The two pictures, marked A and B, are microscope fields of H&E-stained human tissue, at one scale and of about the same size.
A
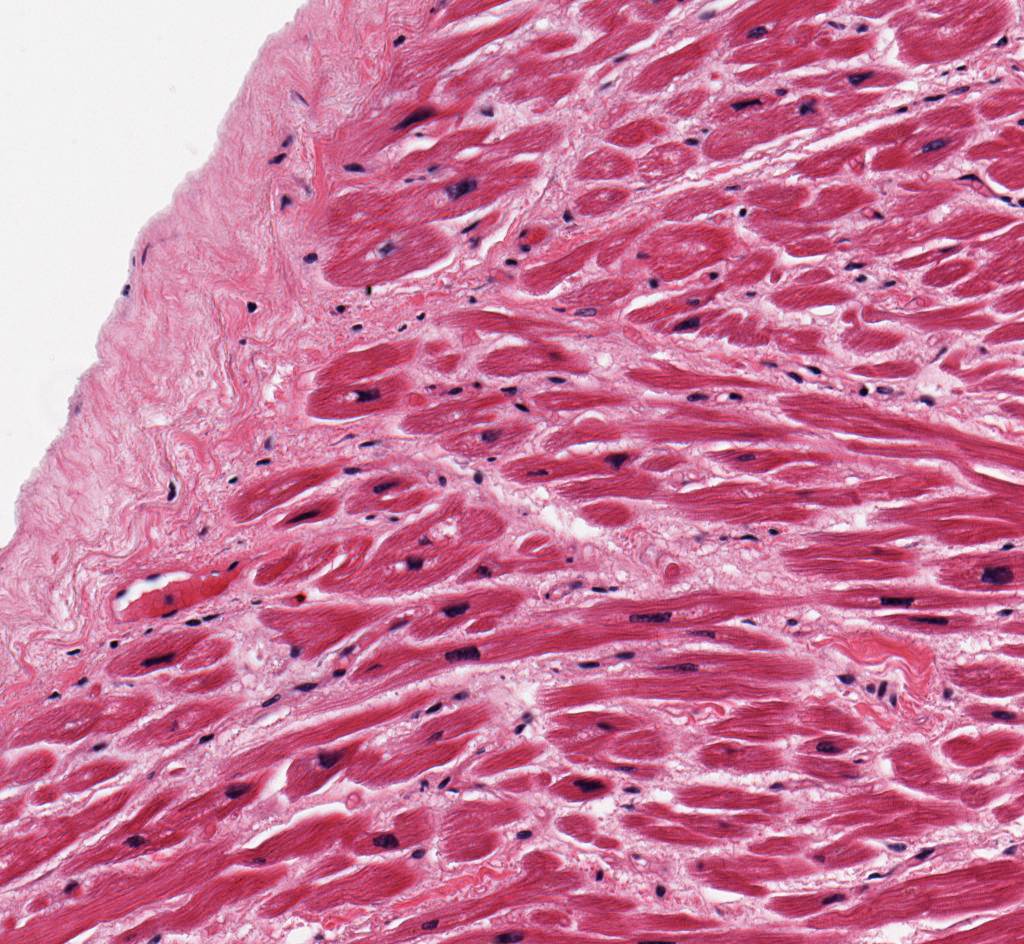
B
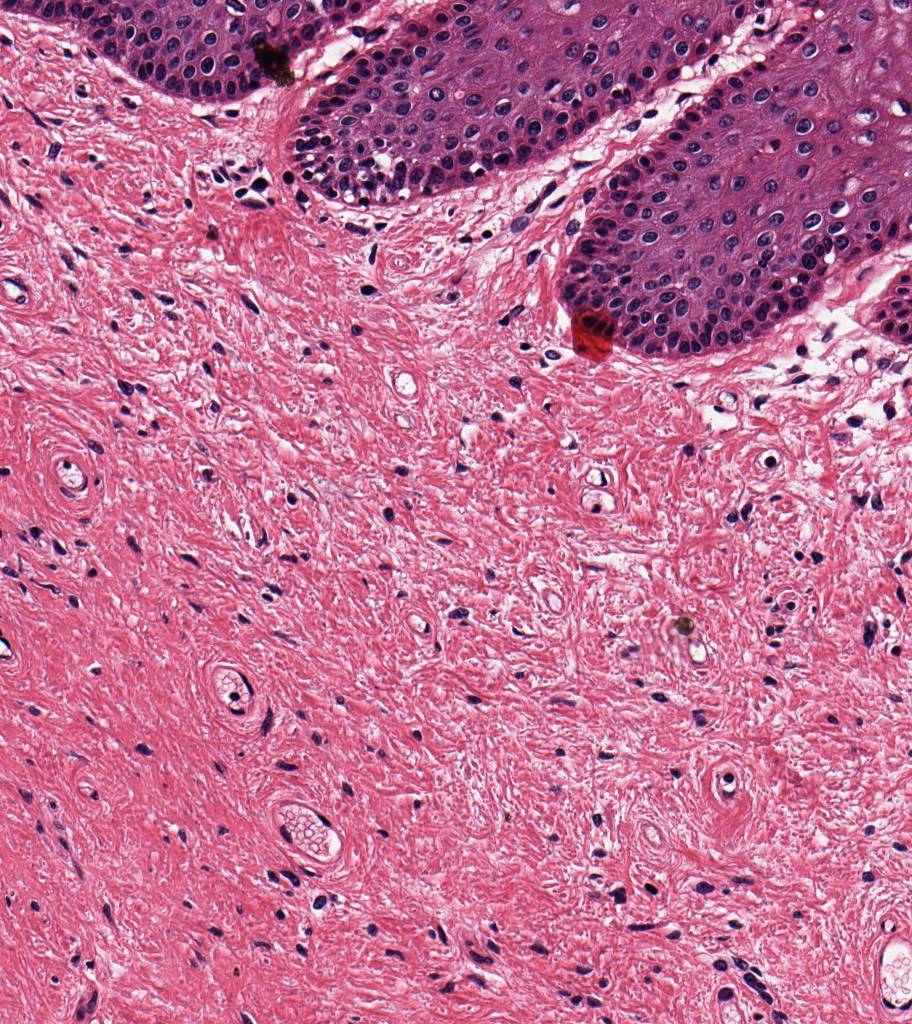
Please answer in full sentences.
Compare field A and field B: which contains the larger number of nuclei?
The larger number of nuclei is in field B.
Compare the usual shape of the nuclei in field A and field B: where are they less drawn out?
Rounder nuclei lie in field B.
